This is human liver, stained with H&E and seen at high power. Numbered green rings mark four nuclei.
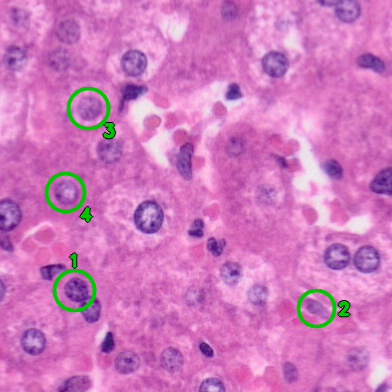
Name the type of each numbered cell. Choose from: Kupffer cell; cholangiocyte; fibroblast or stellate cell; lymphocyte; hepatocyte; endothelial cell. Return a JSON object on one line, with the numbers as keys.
{"1": "hepatocyte", "2": "Kupffer cell", "3": "hepatocyte", "4": "hepatocyte"}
